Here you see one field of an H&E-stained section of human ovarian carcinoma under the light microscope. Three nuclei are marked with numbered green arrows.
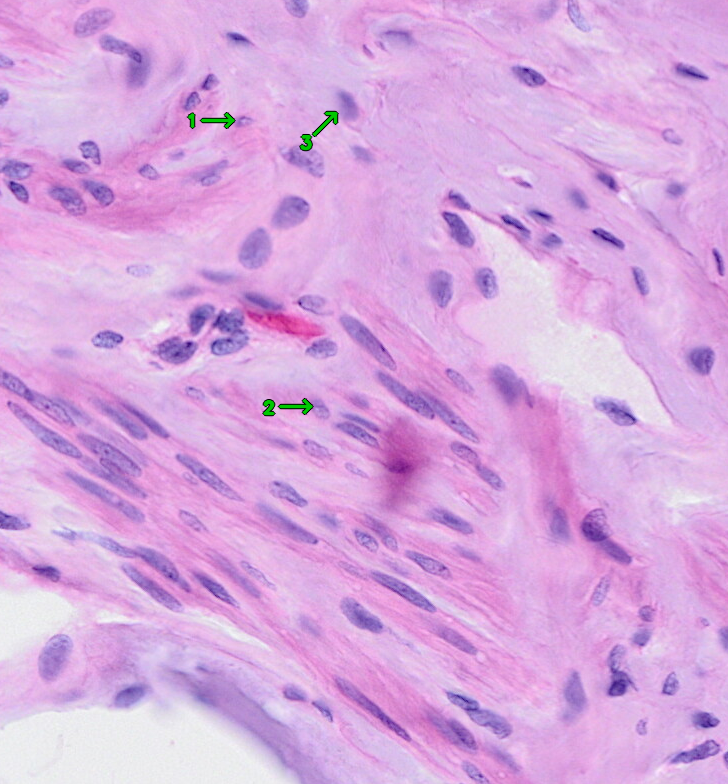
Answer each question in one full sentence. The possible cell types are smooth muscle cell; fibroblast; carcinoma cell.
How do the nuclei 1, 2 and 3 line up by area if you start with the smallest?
Smallest first, the nuclei run 1, 2, 3.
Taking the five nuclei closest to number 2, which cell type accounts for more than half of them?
Smooth muscle cells account for more than half of the five nuclei nearest to number 2.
